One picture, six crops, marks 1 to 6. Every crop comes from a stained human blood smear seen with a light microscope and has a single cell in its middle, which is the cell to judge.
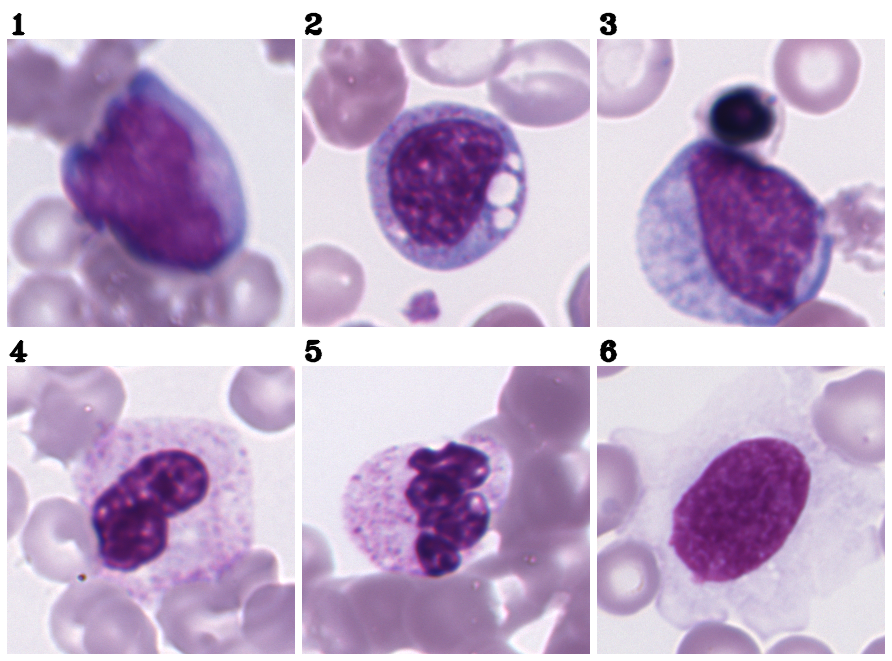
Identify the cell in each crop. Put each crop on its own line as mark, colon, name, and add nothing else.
1: myeloblast
2: promyelocyte
3: promyelocyte
4: segmented neutrophil
5: segmented neutrophil
6: hairy cell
